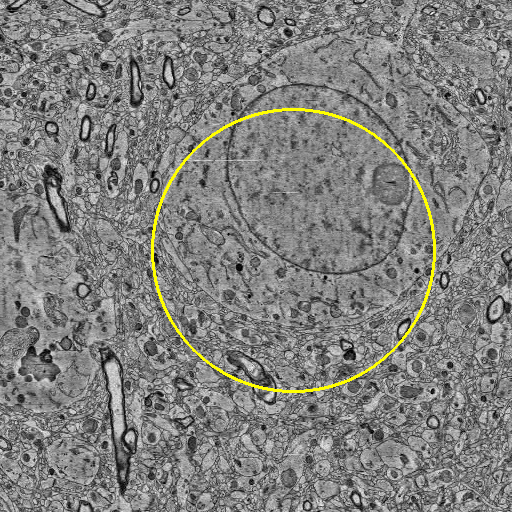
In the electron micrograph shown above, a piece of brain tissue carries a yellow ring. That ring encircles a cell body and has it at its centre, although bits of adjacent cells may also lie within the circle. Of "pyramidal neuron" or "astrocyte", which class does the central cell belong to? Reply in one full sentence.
The cell body at the centre of the yellow ring belongs to a pyramidal neuron.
